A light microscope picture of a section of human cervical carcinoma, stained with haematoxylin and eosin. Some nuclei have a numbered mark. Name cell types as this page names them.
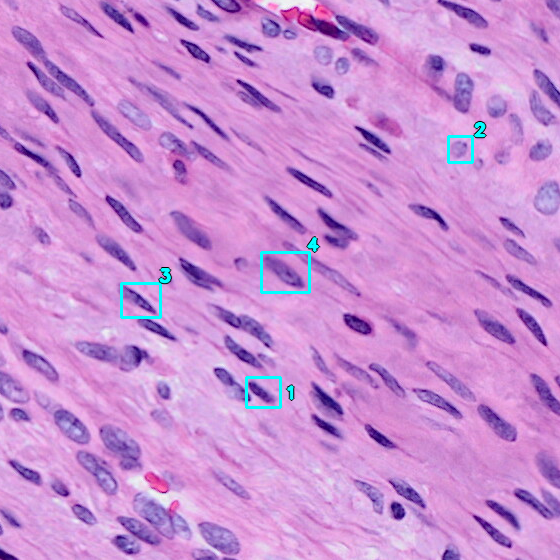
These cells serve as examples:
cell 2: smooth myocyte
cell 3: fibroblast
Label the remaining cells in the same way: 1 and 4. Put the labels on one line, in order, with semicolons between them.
fibroblast; fibroblast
